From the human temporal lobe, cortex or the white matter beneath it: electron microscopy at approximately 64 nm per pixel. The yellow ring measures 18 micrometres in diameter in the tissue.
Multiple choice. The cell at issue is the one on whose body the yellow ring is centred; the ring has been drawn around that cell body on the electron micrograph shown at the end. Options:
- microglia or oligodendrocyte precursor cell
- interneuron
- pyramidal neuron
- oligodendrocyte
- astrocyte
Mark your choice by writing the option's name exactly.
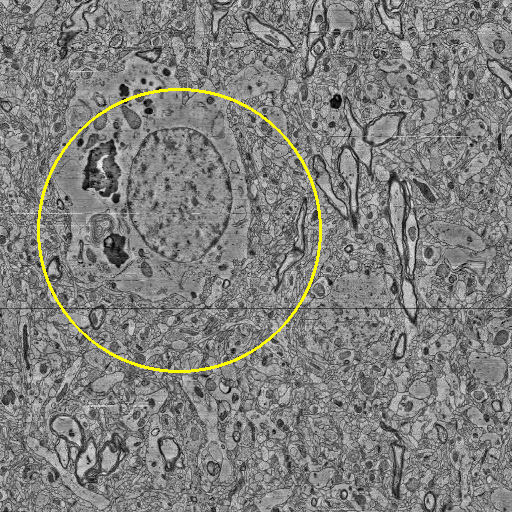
astrocyte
